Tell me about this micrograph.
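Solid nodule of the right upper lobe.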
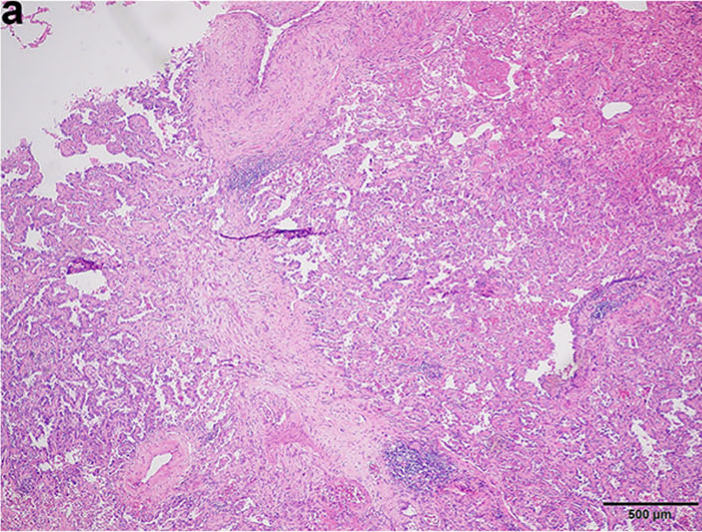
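At low magnification this is a lung adenocarcinoma in which papillary fronds make up most of the tissue. The tumour forms a dense, pink mass with many small branching spaces between the papillae. Small dark blue clusters of lymphocytes lie in the fibrous areas and around vessels.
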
